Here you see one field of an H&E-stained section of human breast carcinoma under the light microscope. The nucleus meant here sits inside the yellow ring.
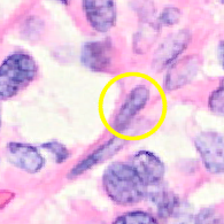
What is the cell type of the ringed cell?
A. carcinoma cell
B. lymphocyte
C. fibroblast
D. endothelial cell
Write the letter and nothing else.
D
